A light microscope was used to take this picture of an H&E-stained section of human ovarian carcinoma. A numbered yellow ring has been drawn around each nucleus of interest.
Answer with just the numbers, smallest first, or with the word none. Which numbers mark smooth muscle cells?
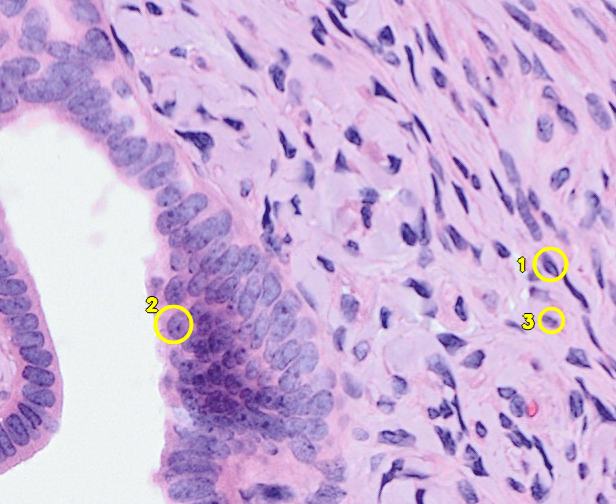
1, 3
